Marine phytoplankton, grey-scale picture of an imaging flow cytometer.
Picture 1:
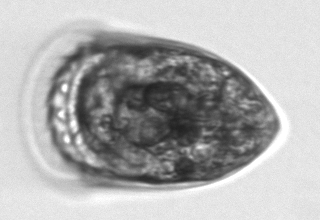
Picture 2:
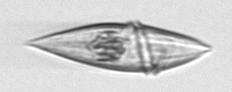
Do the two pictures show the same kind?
No: a tintinnid, then Gyrodinium.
